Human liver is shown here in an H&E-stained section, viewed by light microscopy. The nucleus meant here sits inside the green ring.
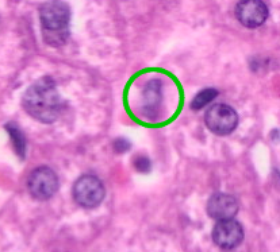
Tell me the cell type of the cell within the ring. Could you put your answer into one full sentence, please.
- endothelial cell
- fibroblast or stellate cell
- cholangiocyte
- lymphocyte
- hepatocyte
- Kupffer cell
With respect to cell type, the cell within the ring is a Kupffer cell.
